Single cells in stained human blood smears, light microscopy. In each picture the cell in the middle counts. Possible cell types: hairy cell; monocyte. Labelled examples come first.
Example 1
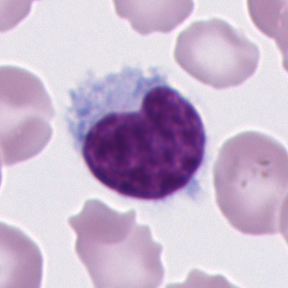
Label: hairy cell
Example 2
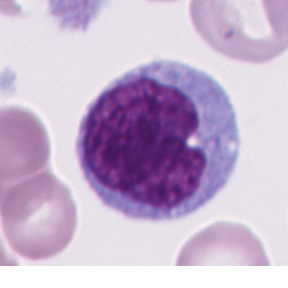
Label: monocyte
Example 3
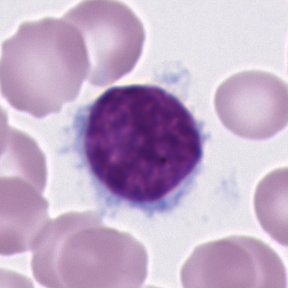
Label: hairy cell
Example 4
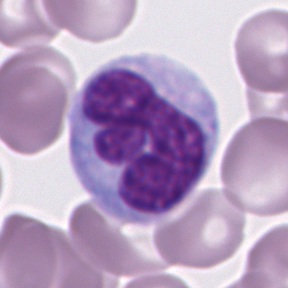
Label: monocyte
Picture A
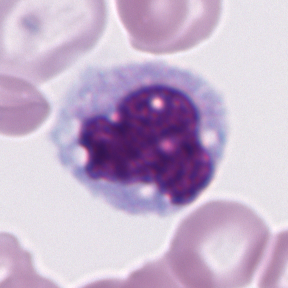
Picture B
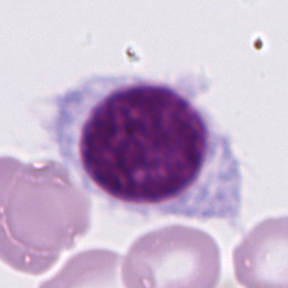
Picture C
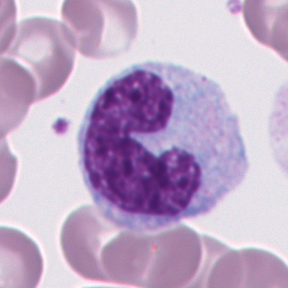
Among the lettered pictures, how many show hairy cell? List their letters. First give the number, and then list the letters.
1: B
